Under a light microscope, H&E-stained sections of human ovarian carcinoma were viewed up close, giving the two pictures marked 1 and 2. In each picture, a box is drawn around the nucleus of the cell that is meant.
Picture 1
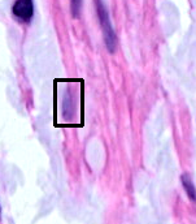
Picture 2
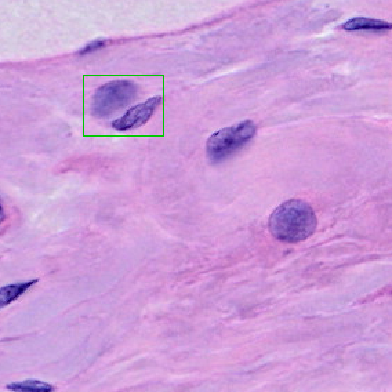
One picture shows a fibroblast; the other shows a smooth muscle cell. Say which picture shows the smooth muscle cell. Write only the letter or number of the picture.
1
